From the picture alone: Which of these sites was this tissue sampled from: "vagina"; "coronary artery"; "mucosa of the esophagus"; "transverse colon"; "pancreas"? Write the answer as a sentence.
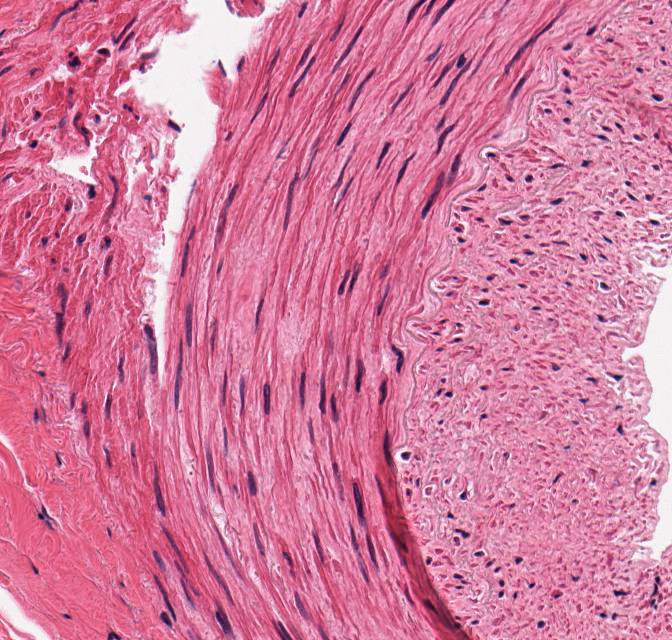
The site this tissue was sampled from is the coronary artery.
